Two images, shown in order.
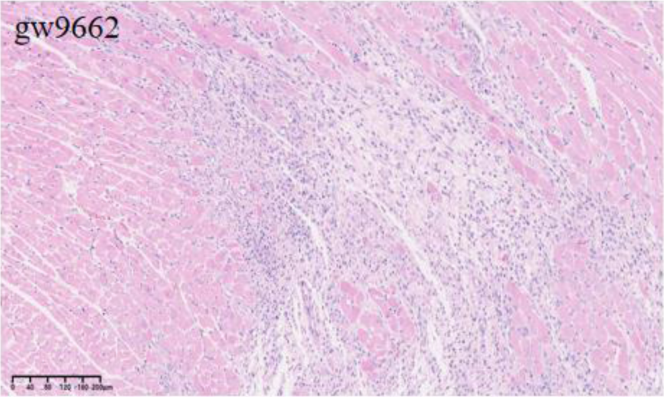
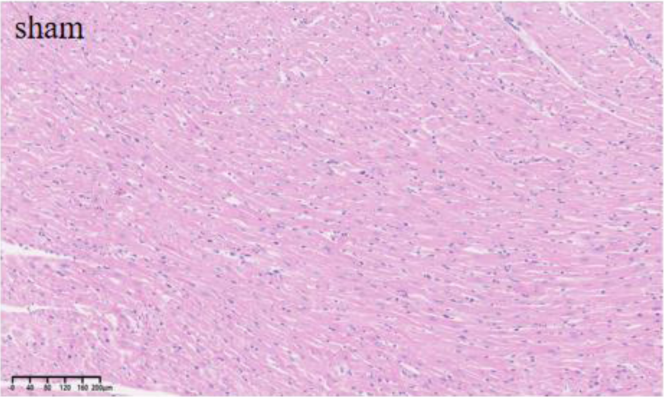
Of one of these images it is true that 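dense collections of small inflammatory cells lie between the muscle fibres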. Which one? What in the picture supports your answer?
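First image: a wide band crowded with small blue-purple nuclei breaks up the pink muscle fibres. Second image: evenly spaced elongated nuclei lie in parallel, tightly packed pink fibres with no crowded clusters.
Answer: the first image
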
